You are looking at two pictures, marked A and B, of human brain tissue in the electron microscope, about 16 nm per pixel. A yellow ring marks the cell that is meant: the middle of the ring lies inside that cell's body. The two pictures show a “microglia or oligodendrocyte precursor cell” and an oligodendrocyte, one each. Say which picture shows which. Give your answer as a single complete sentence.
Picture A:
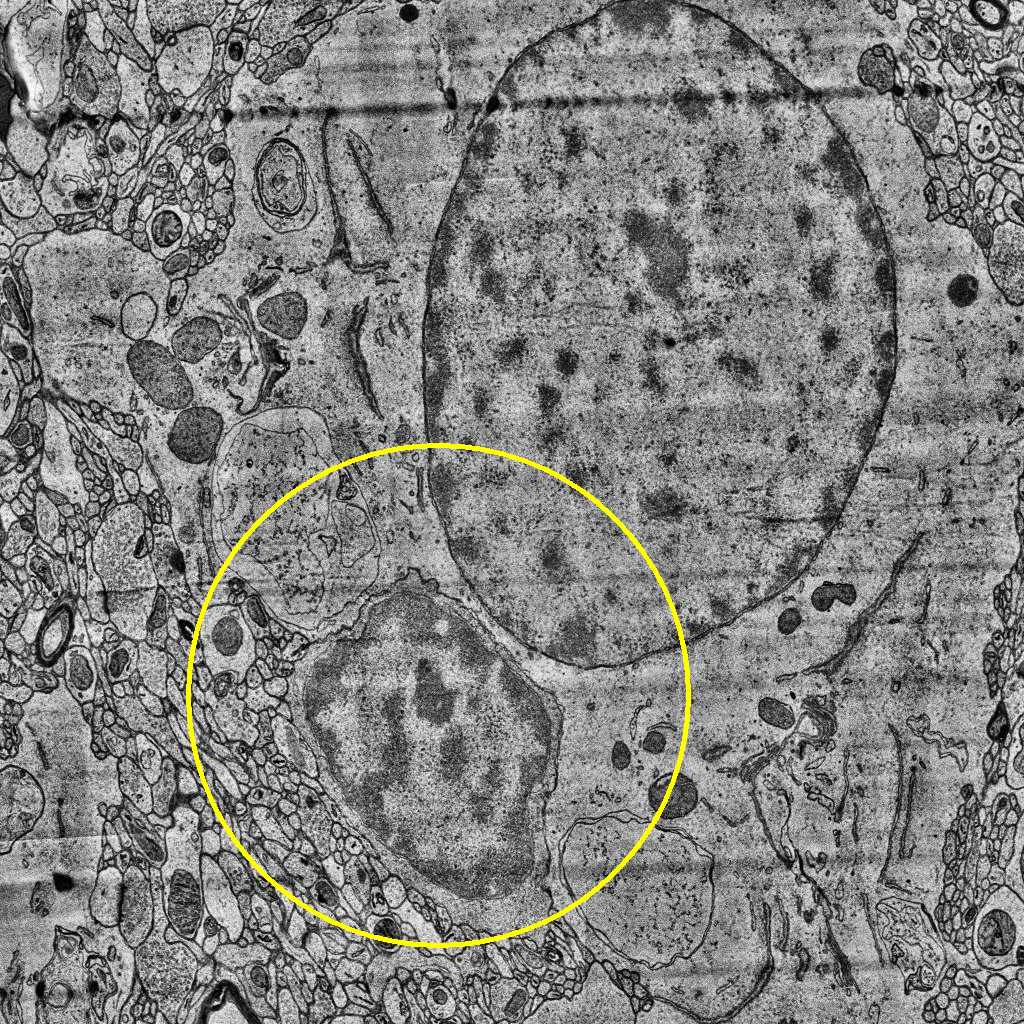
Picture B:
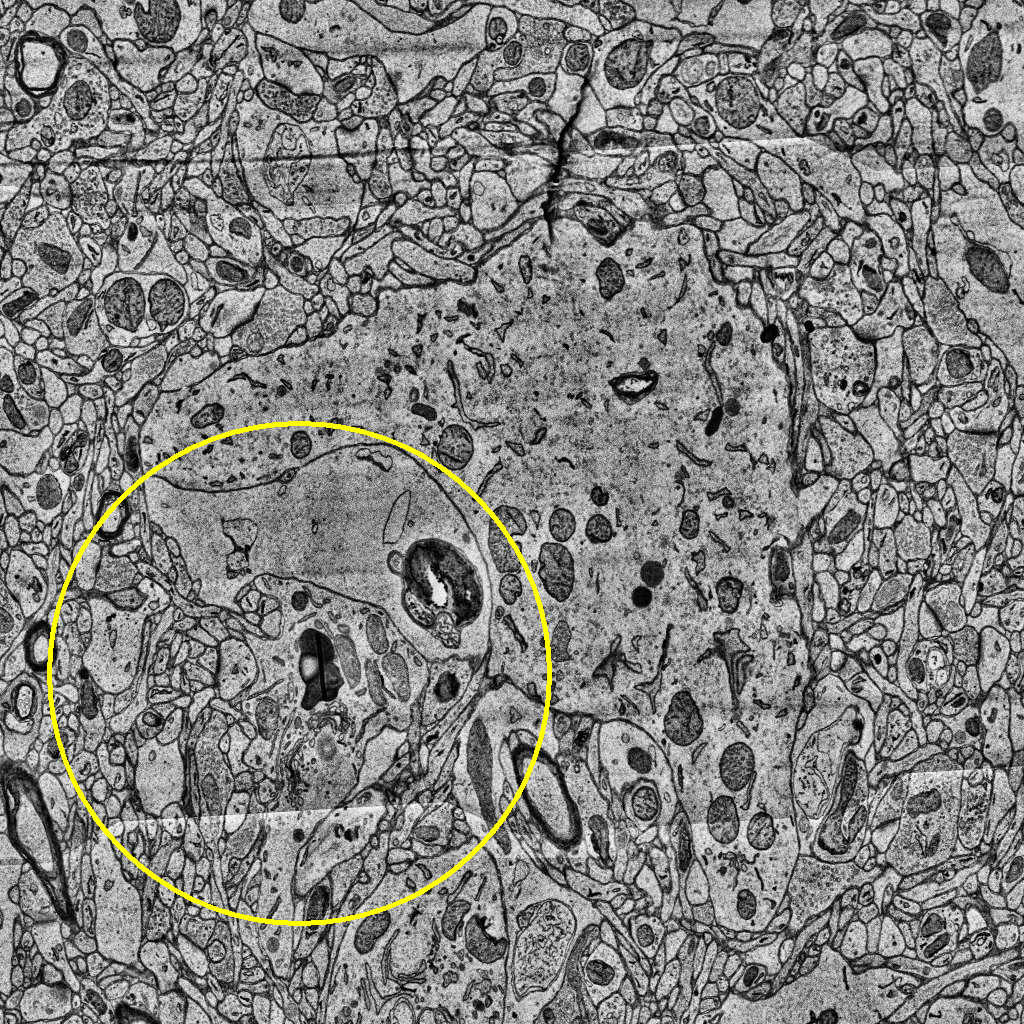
In picture A the cell is an oligodendrocyte; in picture B, a “microglia or oligodendrocyte precursor cell”.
